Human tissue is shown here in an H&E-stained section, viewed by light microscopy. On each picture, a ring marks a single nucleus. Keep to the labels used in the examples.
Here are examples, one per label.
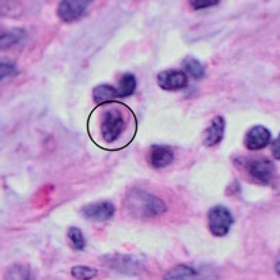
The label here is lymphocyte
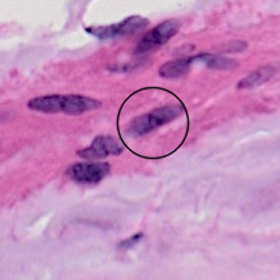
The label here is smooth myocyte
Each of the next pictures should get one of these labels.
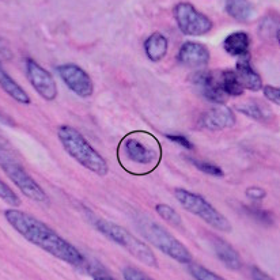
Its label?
smooth myocyte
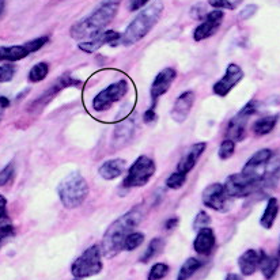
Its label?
lymphocyte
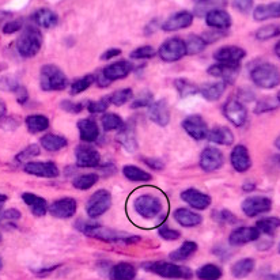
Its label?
lymphocyte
